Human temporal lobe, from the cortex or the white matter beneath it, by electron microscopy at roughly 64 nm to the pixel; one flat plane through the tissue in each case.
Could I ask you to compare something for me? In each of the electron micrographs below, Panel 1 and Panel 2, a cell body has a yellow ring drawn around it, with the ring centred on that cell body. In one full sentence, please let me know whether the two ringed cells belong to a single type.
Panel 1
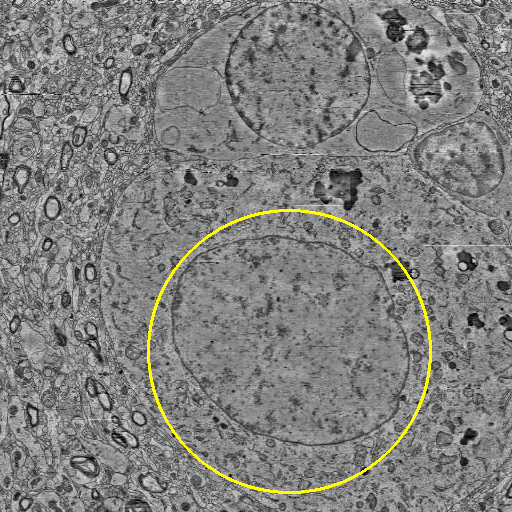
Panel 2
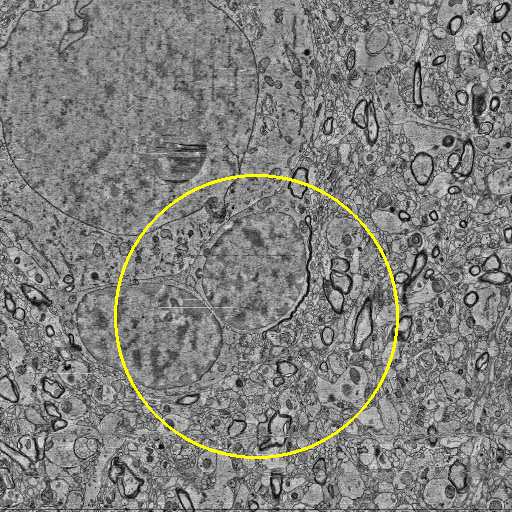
No, the two cells at the centres of the rings are of two types.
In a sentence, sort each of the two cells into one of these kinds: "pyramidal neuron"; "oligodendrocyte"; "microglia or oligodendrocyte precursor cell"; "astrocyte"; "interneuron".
The first of the two cells is a pyramidal neuron, and the second is an oligodendrocyte.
